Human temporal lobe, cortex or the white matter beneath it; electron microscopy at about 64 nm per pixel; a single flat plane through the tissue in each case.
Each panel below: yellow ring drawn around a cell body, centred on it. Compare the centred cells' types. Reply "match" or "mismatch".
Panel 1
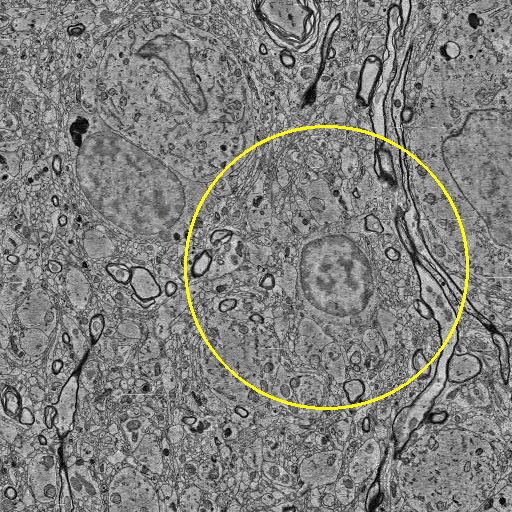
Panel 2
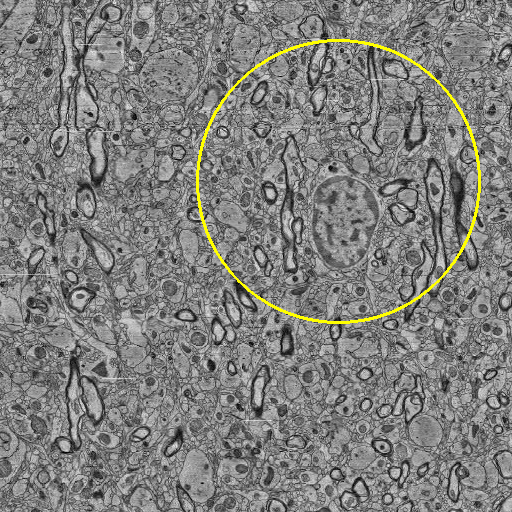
mismatch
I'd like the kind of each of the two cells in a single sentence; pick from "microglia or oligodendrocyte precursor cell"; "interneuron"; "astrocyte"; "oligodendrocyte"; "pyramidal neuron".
The first ring marks an oligodendrocyte, and the second ring marks a microglial cell or oligodendrocyte precursor cell.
